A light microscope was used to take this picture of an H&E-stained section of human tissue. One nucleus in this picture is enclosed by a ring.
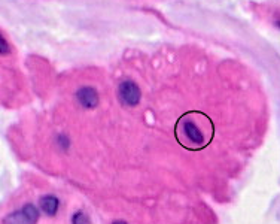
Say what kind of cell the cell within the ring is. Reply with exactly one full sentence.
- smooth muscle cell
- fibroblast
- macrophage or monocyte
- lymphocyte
For the purposes of cell typing, the cell within the ring is categorized as a smooth muscle cell.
